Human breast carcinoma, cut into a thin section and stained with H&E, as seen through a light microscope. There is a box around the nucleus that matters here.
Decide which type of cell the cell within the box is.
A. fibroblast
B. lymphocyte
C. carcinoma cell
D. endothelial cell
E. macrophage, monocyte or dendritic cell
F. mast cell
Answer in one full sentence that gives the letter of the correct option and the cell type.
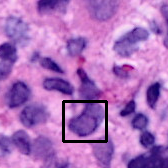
The item is answered by option C: the cell within the box is a carcinoma cell.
